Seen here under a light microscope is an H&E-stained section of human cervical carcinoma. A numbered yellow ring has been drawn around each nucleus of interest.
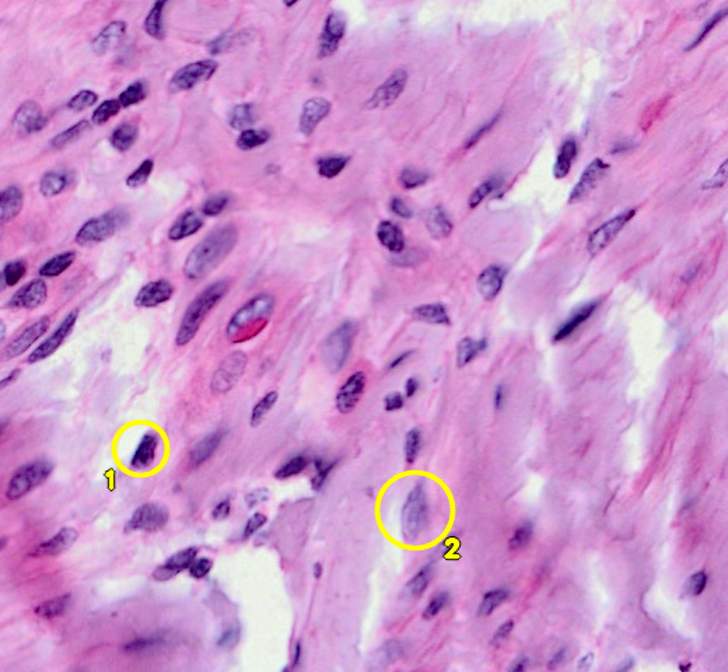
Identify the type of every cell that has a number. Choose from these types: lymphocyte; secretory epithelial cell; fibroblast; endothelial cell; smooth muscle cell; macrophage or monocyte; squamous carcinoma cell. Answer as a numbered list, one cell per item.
1. lymphocyte
2. fibroblast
